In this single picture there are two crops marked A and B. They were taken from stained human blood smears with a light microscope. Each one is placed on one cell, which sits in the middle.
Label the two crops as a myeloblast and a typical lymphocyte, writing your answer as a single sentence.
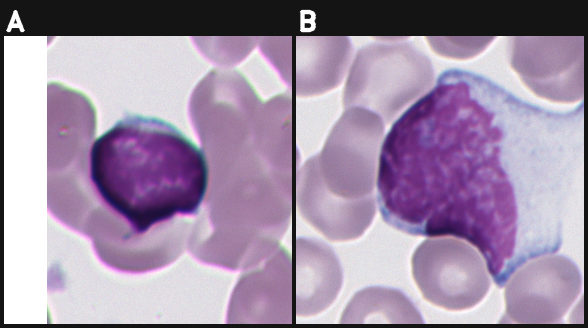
Respectively, crops A and B show a typical lymphocyte and a myeloblast.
